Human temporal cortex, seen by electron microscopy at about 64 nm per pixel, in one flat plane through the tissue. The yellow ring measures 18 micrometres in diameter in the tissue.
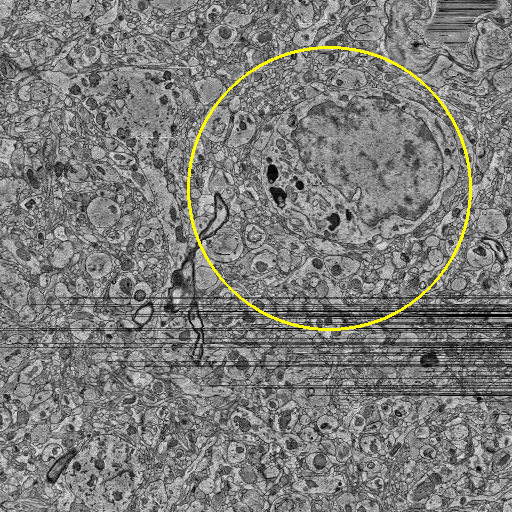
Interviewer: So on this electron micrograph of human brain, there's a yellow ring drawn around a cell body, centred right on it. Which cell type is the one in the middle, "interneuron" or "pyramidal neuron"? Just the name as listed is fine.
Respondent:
interneuron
